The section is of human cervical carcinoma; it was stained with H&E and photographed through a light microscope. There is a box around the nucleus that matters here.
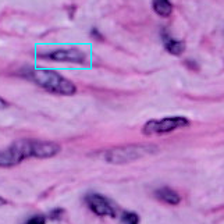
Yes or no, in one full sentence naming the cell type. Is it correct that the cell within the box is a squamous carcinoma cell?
No, the cell within the box corresponds to a smooth muscle cell rather than to a squamous carcinoma cell.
